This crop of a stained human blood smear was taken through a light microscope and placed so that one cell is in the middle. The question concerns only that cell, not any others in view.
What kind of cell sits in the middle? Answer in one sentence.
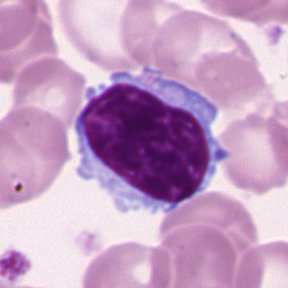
The cell shown in the center of this light-microscope crop is a typical lymphocyte.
